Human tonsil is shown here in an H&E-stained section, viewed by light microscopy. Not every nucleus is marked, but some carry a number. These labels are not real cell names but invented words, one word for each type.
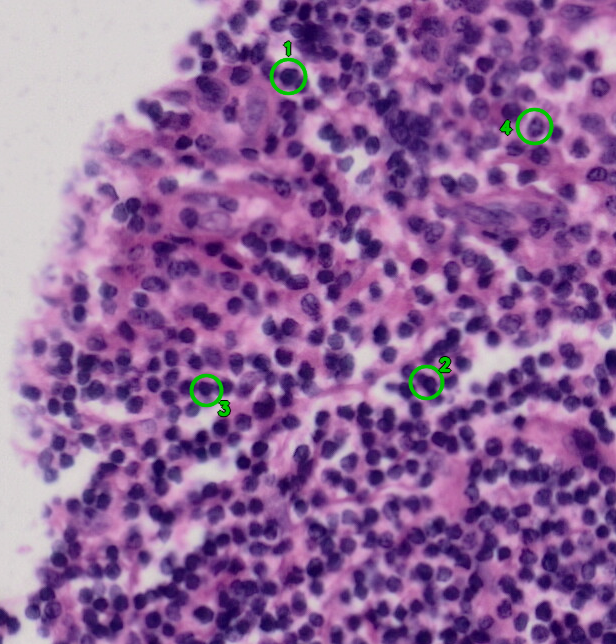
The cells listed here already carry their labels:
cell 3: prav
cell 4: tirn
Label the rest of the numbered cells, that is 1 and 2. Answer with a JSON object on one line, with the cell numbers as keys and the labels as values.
{"1": "prav", "2": "prav"}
